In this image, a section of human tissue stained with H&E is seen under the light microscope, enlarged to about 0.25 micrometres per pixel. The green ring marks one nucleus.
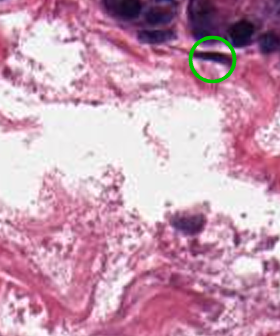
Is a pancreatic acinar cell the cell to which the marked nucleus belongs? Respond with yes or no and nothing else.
no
